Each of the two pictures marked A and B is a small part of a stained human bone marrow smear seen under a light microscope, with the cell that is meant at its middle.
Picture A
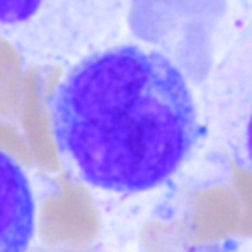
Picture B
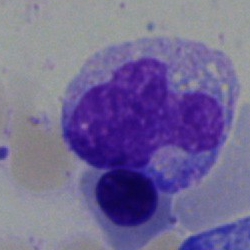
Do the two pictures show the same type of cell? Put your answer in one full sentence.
Yes; the cells in both pictures are monocytes.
